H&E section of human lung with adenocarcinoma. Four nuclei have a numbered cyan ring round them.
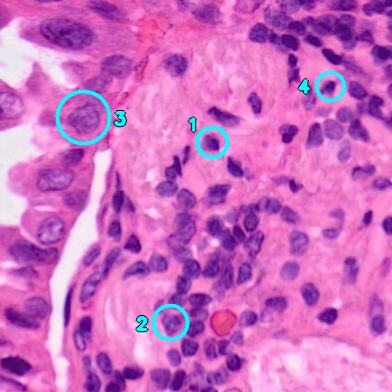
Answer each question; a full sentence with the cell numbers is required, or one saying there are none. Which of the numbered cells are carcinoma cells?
Cell 3 is the only one of the numbered cells that is a carcinoma cell.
